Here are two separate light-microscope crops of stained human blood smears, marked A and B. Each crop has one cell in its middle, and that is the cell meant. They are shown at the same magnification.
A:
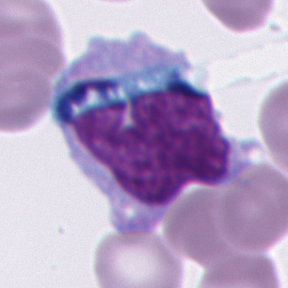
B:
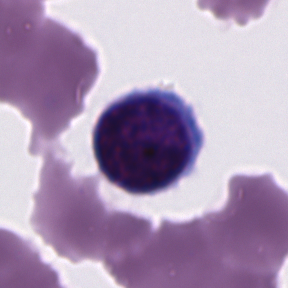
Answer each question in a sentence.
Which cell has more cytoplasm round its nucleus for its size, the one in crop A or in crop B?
It is the cell in crop A that is filled less by its nucleus.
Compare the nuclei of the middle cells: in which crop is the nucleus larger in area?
The nucleus in crop A is larger, with about 2 times the area of the one in crop B.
